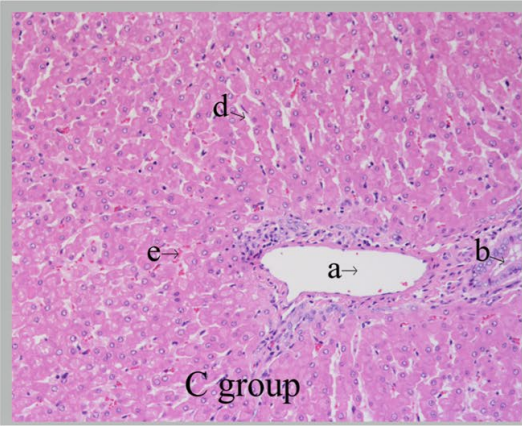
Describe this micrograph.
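Liver with an elongated, wide, empty vein lying in a cuff of connective tissue crowded with small dark nuclei. Plates of pink polygonal hepatocytes with round nuclei surround it, separated by narrow pale sinusoidal spaces, a few containing red cells.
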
